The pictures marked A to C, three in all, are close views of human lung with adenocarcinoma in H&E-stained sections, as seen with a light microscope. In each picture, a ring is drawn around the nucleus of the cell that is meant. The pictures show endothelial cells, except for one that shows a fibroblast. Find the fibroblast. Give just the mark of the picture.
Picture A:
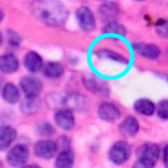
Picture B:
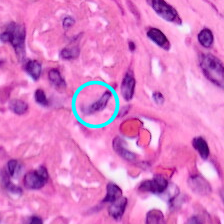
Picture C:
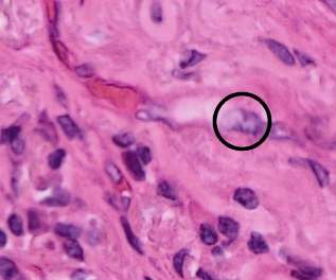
B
